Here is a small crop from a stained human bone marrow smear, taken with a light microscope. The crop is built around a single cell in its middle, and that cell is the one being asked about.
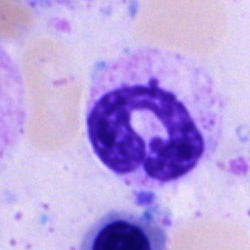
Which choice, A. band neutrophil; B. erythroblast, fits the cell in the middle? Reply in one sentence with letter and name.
The cell in the middle is a band neutrophil, and that makes option A correct.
